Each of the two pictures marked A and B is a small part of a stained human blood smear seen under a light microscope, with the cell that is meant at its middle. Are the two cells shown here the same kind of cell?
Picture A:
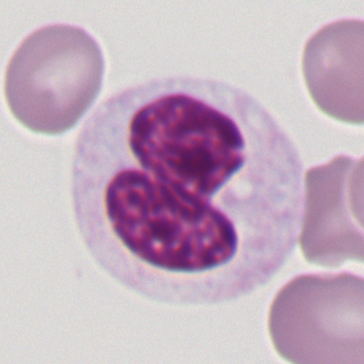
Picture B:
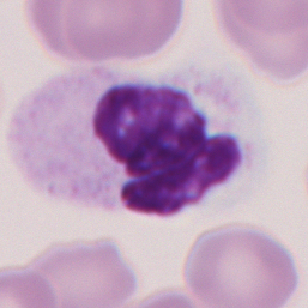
yes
